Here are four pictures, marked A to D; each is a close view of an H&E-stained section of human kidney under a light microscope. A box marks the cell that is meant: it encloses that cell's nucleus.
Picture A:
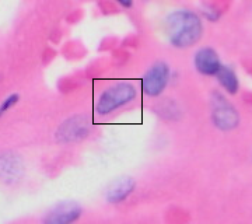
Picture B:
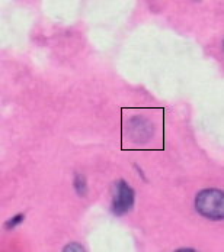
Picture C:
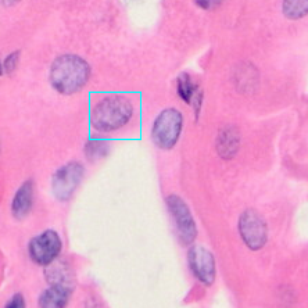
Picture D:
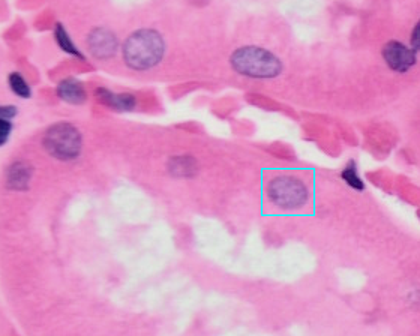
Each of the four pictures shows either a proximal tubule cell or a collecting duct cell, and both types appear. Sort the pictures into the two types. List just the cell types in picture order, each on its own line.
collecting duct cell
proximal tubule cell
collecting duct cell
proximal tubule cell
